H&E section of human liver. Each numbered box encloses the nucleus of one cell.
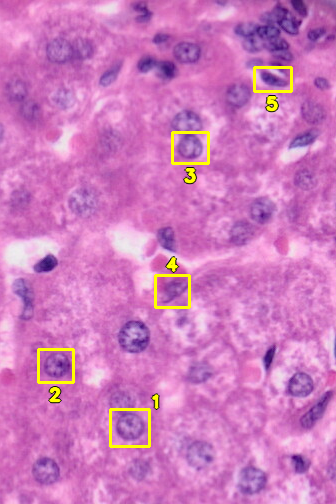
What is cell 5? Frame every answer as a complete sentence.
In this section, number 5 marks a fibroblast or stellate cell.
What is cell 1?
The cell pointed out as number 1 is a hepatocyte.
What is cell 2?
Number 2 among the marked cells is a hepatocyte.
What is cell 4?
The correct answer for cell 4 is a Kupffer cell.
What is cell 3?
The cell given label 3 is a hepatocyte.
